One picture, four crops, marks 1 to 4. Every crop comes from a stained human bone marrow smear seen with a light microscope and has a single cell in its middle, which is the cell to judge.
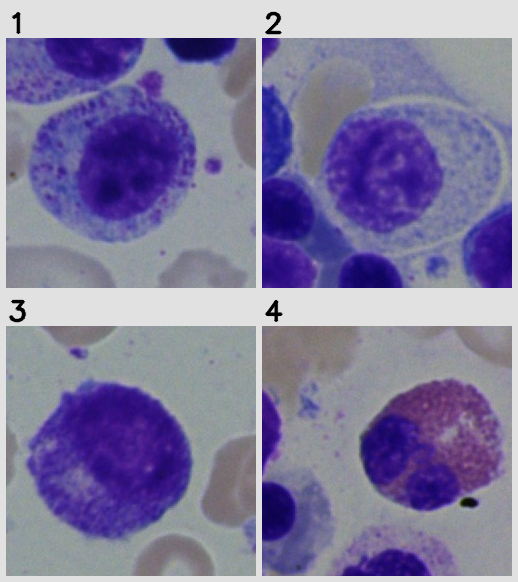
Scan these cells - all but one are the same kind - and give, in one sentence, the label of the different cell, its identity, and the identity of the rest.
All the crops show myelocytes, barring crop 4, which is an eosinophil.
